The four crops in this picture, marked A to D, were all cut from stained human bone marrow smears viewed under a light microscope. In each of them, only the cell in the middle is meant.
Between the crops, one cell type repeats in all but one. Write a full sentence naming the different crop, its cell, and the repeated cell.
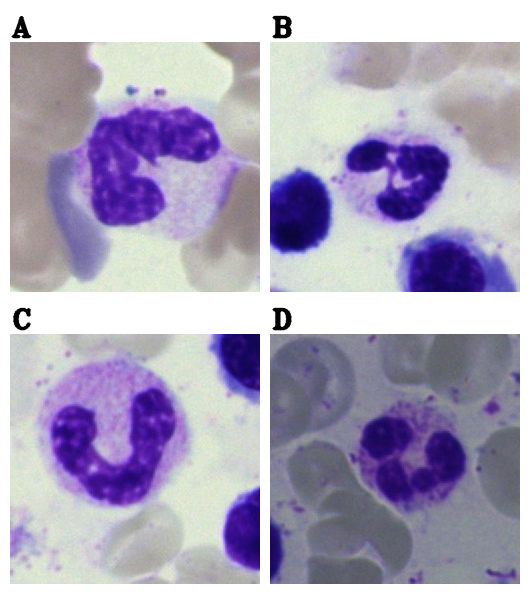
Crop C is a band neutrophil, while the rest of the set consists of segmented neutrophils.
